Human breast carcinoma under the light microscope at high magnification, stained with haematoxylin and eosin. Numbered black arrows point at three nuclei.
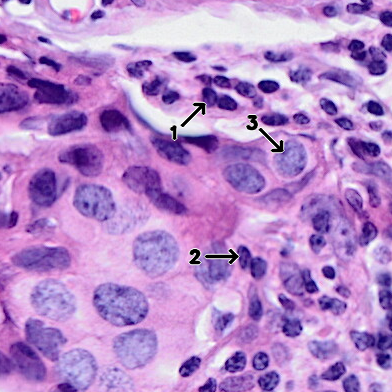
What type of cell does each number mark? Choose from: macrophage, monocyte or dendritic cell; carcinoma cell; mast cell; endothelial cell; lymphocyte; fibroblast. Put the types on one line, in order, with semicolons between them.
lymphocyte; lymphocyte; carcinoma cell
